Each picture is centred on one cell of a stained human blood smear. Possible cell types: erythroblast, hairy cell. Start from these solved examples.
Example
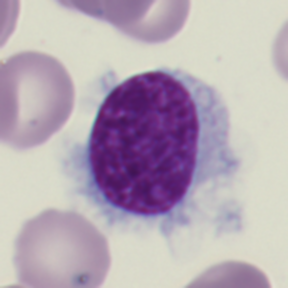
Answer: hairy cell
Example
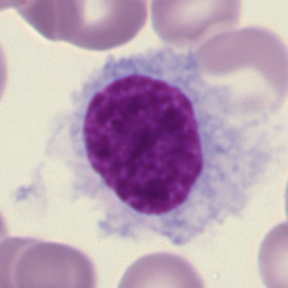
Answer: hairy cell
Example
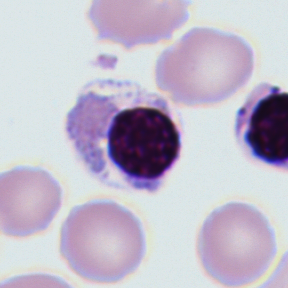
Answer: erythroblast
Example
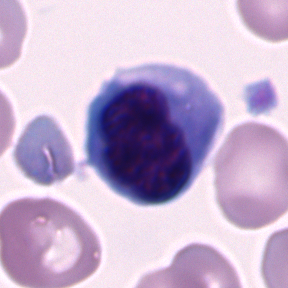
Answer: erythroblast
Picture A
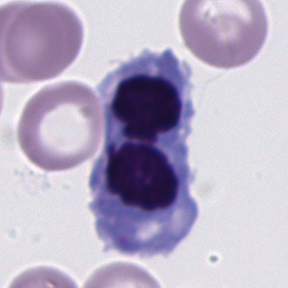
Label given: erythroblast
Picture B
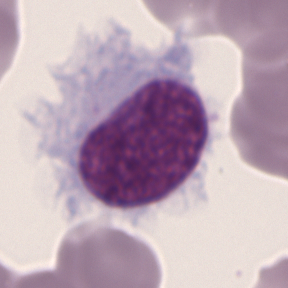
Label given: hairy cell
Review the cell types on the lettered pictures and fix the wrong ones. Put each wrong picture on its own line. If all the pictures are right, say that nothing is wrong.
No label is wrong.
